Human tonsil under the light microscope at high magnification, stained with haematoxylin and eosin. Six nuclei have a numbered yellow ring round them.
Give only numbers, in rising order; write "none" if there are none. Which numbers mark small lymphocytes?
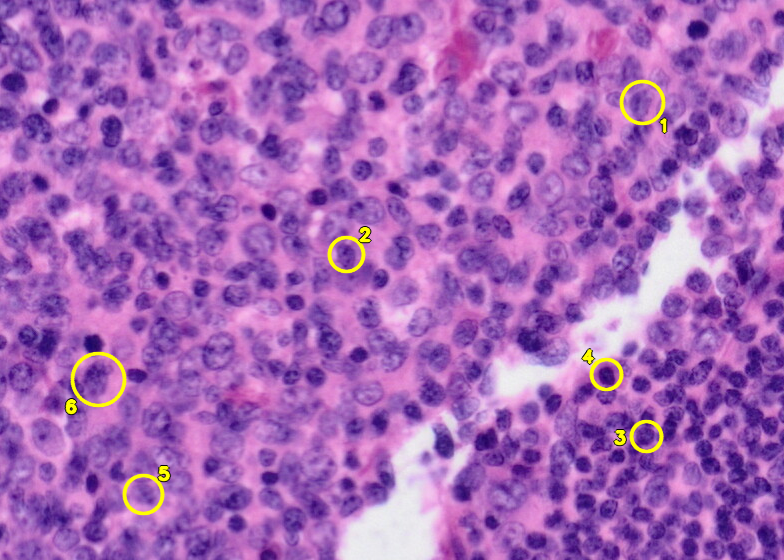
3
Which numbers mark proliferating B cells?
1, 2, 5, 6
